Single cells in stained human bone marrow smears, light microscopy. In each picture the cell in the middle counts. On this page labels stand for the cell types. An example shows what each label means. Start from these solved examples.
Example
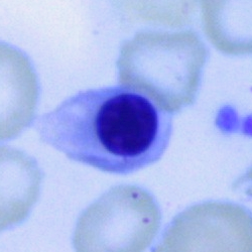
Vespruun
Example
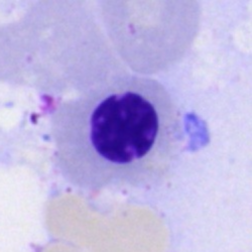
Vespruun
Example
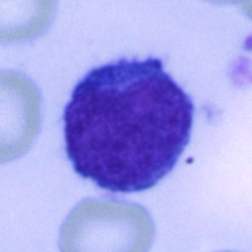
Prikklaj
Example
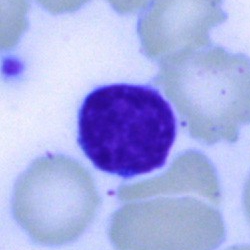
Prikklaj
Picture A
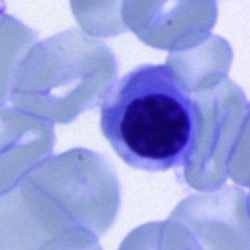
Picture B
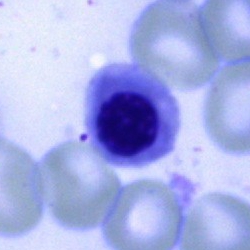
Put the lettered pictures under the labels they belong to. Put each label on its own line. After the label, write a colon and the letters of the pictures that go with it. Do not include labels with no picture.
Vespruun: A, B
